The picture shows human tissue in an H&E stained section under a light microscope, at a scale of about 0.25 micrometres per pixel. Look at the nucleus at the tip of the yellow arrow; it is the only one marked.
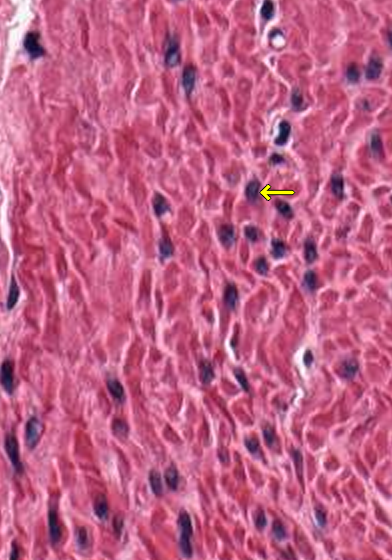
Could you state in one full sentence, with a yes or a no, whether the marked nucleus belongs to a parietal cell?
No, the marked nucleus does not form part of a parietal cell.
